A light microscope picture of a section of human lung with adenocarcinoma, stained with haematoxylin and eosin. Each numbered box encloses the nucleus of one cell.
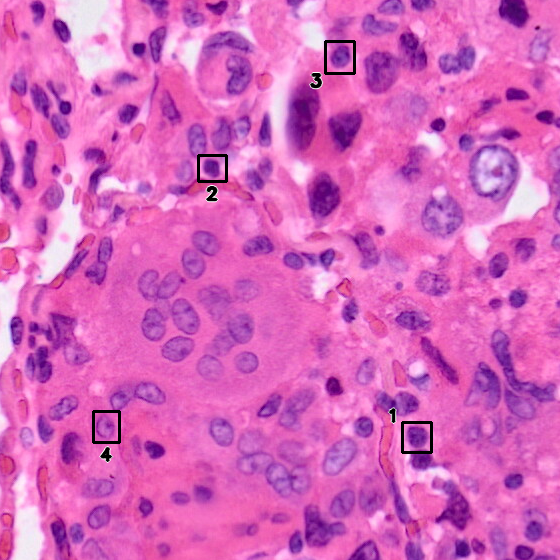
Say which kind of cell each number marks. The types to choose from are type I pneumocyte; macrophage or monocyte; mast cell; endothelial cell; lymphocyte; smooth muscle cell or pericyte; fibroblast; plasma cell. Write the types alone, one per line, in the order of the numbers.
lymphocyte
lymphocyte
lymphocyte
macrophage or monocyte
